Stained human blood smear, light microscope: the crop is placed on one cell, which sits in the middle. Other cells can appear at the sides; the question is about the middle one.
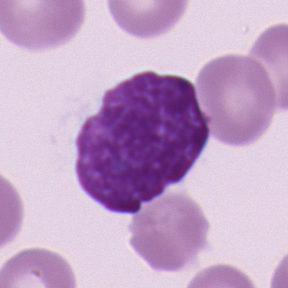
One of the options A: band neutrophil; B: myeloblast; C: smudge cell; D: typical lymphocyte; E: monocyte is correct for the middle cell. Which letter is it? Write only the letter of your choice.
C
